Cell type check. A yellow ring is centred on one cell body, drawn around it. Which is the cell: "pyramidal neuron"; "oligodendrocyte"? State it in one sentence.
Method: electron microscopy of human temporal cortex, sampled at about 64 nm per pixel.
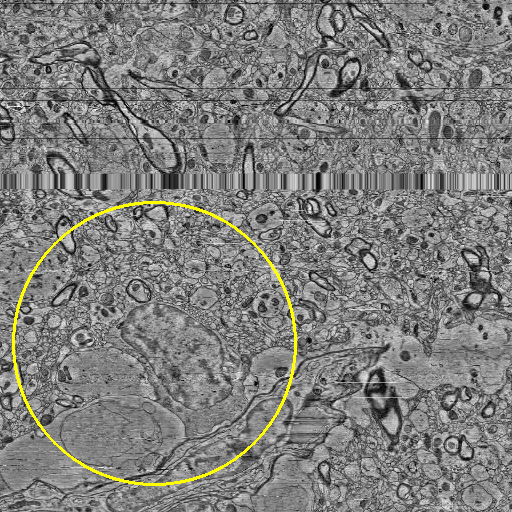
The cell body at the ring's centre belongs to an oligodendrocyte.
